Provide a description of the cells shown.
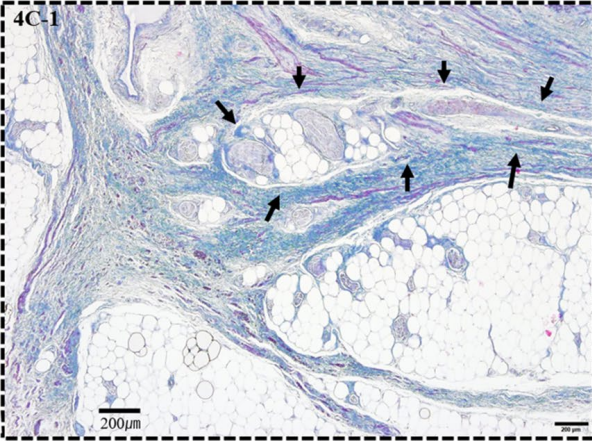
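Dense fibrous connective tissue stained blue-green spreads in branching bands between large lobules of white, empty-looking fat cells. Within these bands run neurovascular bundles made of rounded fascicles and small vessels, with thin purple-red strands along their edges. The fibrous bands converge toward one side where they merge into a denser fibrous sheet.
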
